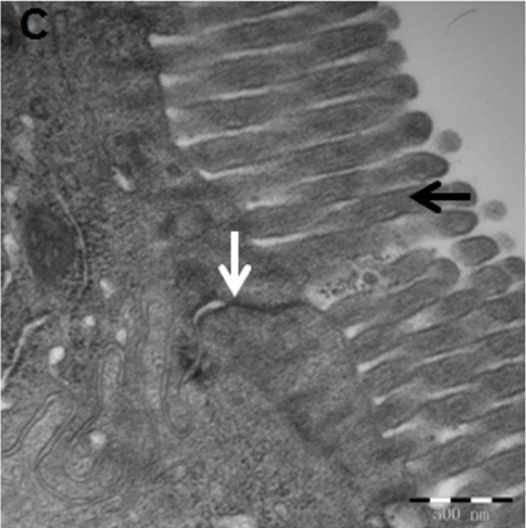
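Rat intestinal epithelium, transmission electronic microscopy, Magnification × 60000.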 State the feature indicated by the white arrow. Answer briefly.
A: Tight junctions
